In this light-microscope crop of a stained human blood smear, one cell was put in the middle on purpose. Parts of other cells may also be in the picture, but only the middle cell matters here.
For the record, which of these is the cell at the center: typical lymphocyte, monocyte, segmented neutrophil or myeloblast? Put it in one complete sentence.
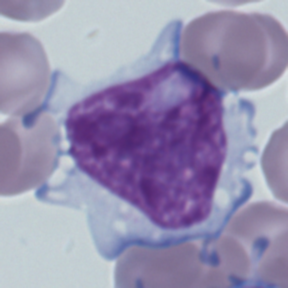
The cell around which this crop is centred is a myeloblast.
